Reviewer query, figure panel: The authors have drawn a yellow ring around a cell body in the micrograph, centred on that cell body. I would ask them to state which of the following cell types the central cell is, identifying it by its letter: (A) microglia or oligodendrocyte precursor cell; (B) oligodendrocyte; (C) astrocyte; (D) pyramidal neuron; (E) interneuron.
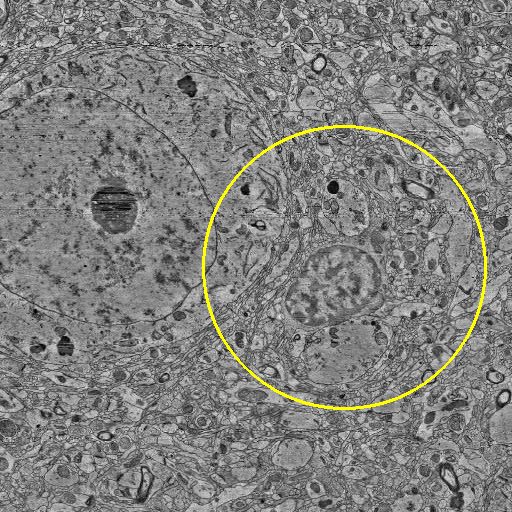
B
